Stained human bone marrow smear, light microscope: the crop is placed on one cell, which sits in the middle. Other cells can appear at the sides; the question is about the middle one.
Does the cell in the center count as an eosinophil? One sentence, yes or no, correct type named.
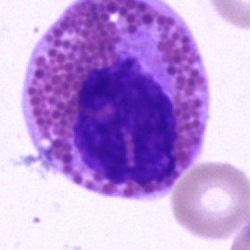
Yes, the crop's central cell is an eosinophil.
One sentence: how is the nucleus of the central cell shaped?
Worth pointing out that its nucleus is one compact mass, round, oval or reniform.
